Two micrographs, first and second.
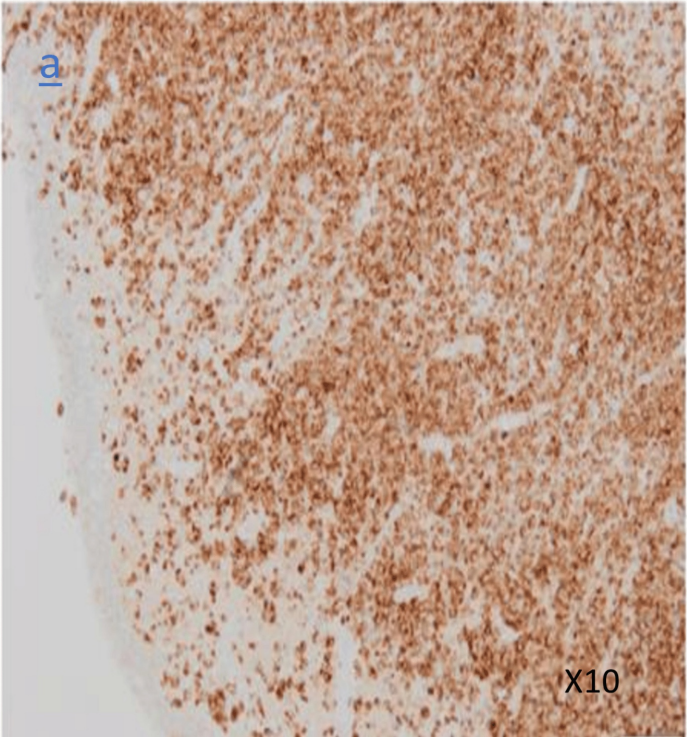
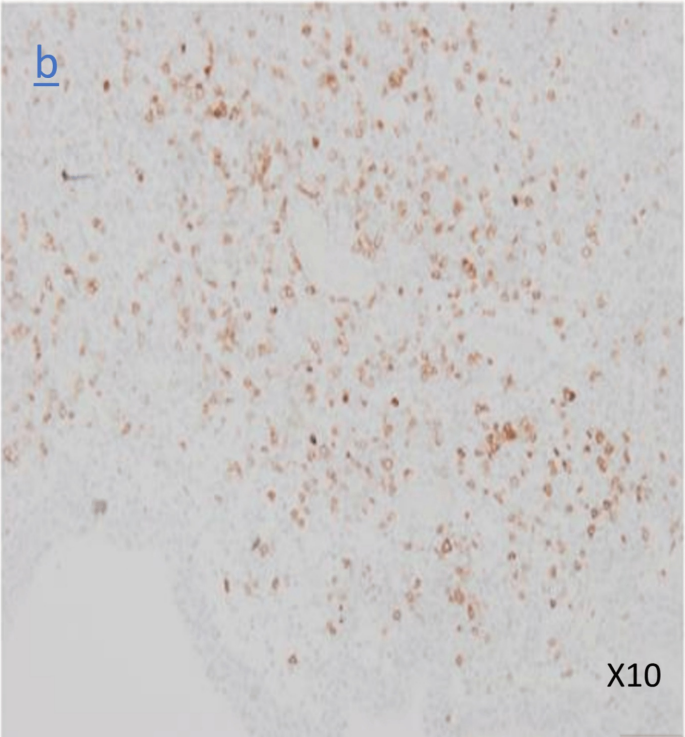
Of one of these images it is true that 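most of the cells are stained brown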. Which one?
The first image.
